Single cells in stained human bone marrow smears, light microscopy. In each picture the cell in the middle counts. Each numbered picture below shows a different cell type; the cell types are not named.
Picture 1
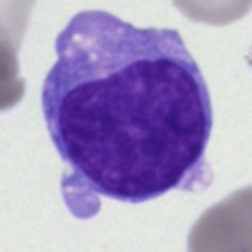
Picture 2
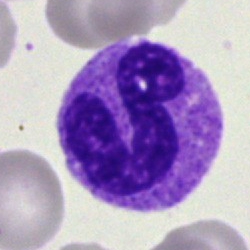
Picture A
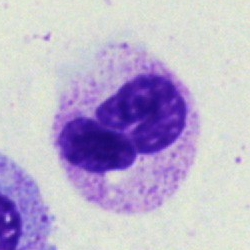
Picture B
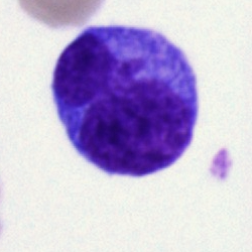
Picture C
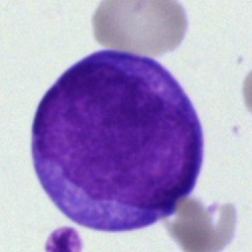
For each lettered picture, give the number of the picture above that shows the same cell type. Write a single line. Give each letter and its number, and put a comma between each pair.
A 2, B 1, C 1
